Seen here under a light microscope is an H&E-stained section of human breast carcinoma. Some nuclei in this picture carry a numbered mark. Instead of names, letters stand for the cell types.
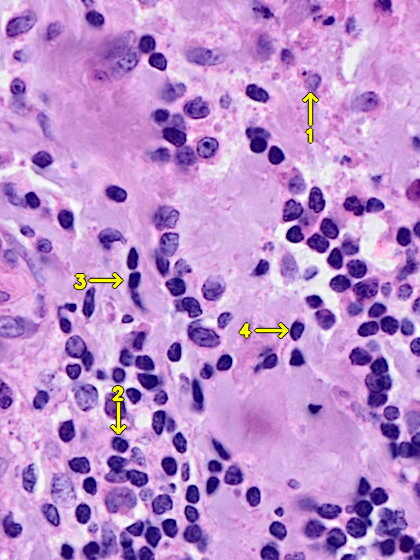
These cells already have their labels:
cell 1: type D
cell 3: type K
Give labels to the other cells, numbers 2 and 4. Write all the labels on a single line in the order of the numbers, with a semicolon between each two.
type K; type K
